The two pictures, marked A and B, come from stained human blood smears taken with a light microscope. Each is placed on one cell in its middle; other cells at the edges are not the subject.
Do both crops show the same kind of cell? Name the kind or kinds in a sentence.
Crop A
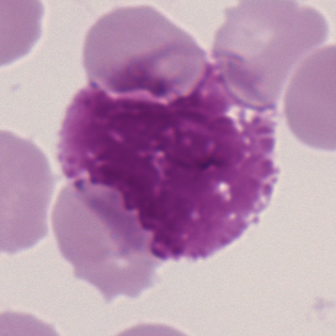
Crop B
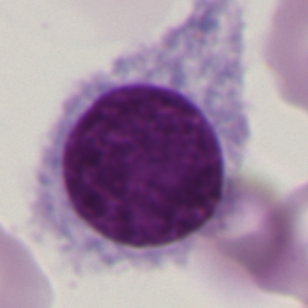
No, crop A and crop B show a smudge cell and a hairy cell respectively.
